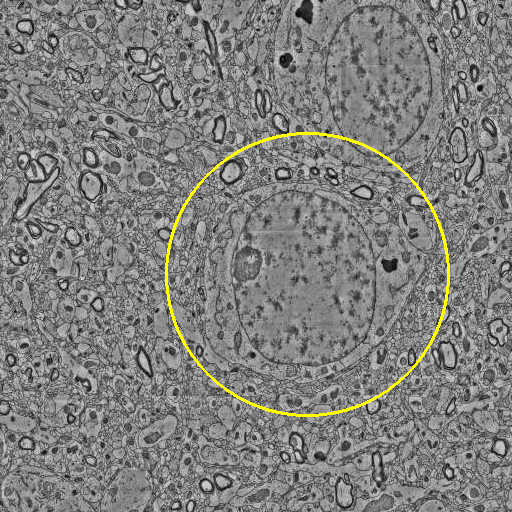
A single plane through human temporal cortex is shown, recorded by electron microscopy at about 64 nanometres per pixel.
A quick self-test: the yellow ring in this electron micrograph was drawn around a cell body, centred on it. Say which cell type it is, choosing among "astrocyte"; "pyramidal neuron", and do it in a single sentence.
The yellow-ringed cell is a pyramidal neuron.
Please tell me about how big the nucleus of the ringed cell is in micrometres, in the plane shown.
About 11 by 10 micrometers, in this plane.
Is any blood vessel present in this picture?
No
